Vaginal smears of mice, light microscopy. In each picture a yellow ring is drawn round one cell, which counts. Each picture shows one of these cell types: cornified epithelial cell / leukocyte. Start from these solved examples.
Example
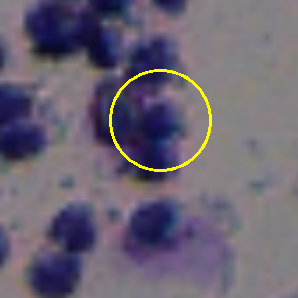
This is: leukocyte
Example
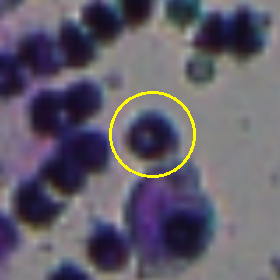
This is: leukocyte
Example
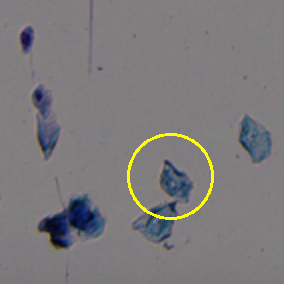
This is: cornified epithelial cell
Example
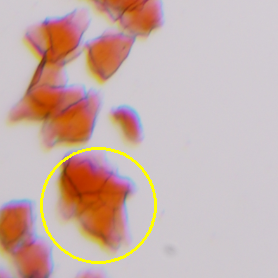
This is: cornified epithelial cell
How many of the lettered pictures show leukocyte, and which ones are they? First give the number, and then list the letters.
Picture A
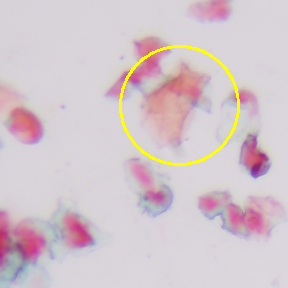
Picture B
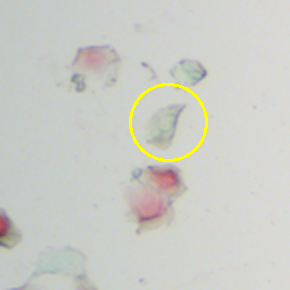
0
